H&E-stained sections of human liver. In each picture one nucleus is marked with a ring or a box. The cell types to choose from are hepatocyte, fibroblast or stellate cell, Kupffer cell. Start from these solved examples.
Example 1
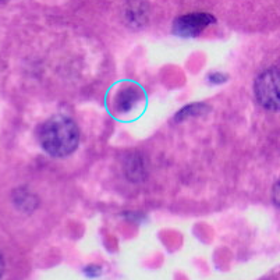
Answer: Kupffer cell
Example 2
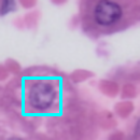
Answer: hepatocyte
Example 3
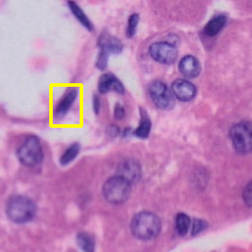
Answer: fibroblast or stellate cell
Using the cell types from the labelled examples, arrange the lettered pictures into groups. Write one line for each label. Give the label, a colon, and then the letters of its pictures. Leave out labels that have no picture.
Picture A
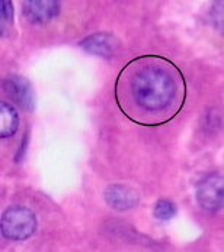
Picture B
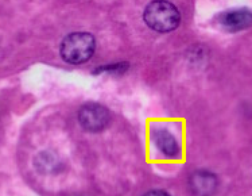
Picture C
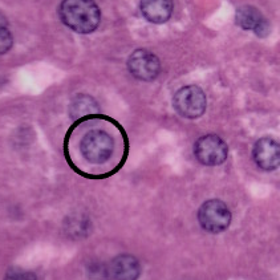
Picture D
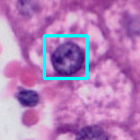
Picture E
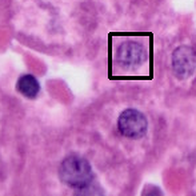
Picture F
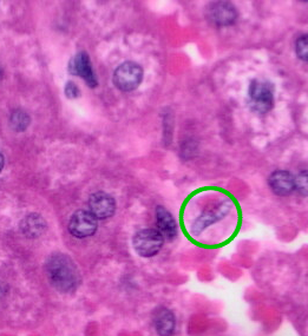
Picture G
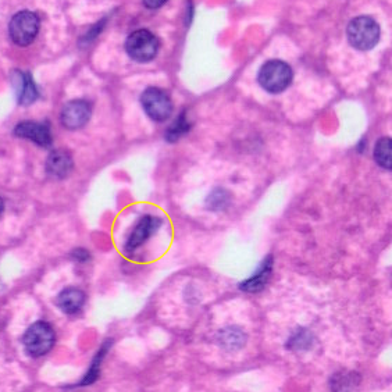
hepatocyte: A, C, D, E
Kupffer cell: B, F, G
